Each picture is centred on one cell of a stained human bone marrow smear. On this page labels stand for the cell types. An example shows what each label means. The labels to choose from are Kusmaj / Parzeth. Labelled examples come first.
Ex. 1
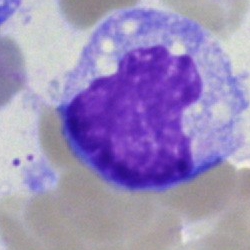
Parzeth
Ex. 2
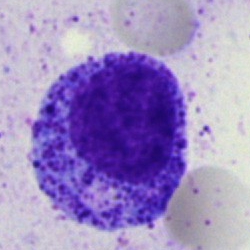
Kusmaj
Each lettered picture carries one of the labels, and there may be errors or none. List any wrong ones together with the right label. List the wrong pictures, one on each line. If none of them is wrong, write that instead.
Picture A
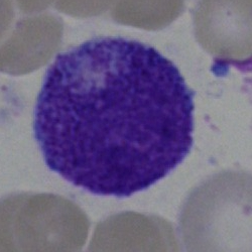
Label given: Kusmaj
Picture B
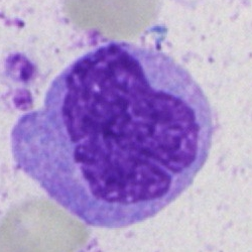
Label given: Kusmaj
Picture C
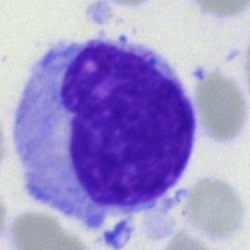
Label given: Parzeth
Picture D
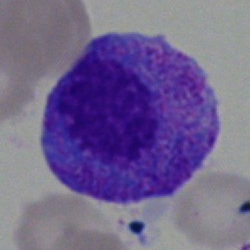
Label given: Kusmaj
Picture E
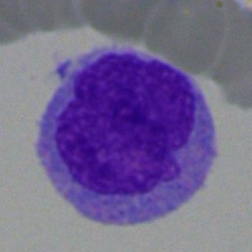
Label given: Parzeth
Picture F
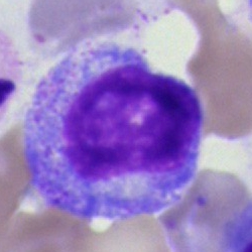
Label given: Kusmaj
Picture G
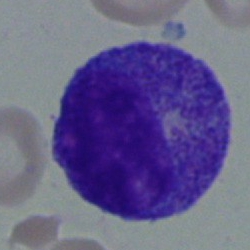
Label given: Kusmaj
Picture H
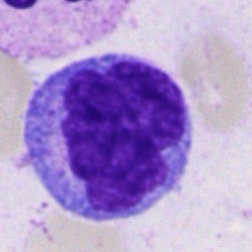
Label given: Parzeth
B: change Kusmaj to Parzeth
